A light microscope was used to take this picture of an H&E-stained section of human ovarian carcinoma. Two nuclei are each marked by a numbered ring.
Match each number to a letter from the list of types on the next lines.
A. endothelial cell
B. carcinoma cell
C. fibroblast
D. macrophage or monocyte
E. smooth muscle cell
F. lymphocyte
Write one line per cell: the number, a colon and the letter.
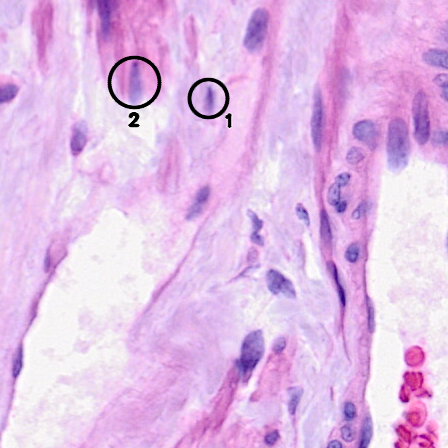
1: C
2: E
